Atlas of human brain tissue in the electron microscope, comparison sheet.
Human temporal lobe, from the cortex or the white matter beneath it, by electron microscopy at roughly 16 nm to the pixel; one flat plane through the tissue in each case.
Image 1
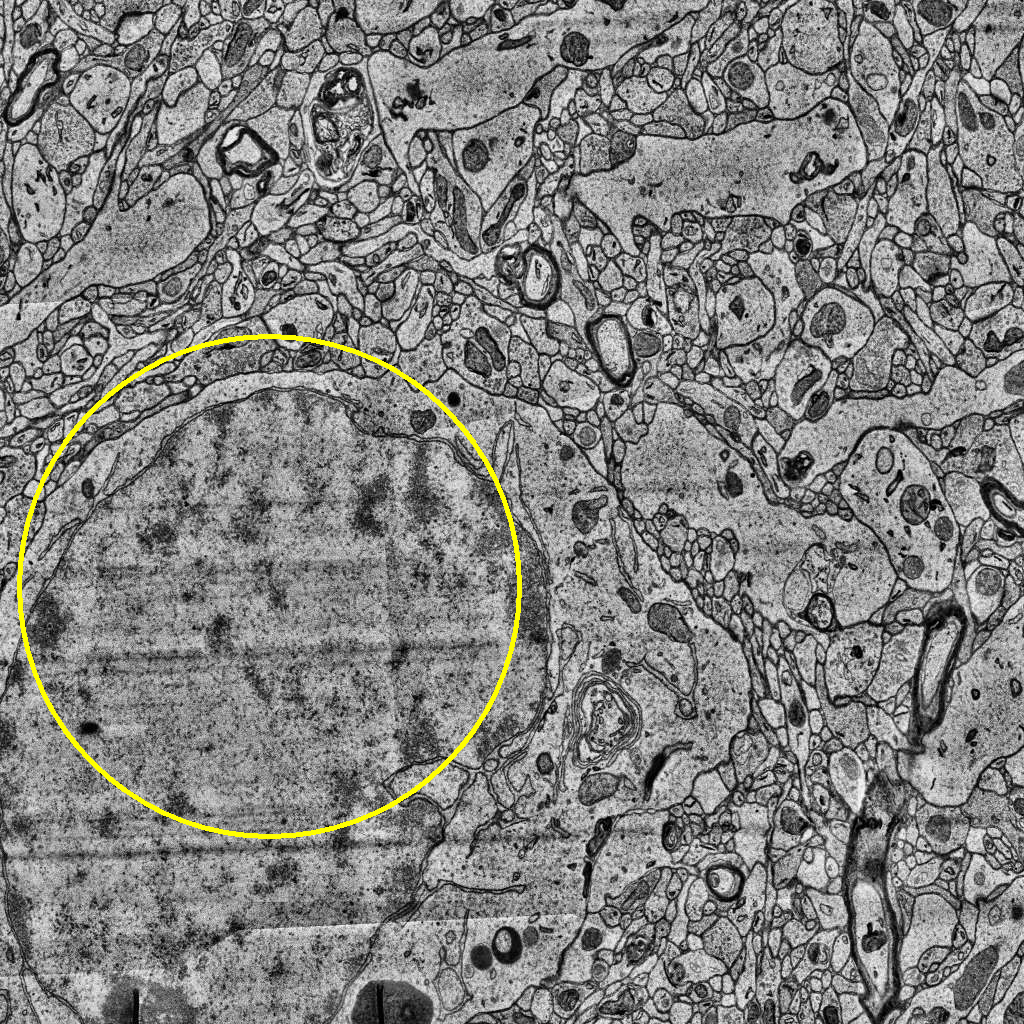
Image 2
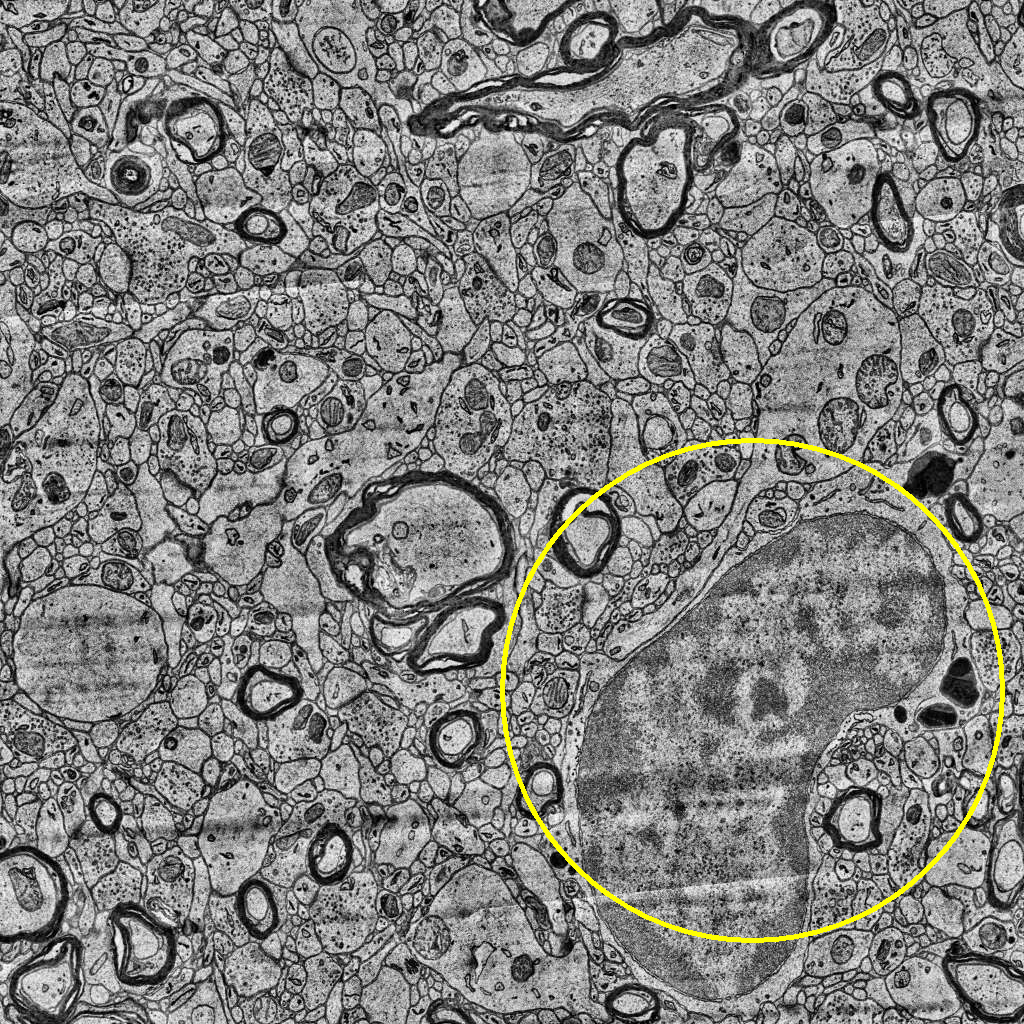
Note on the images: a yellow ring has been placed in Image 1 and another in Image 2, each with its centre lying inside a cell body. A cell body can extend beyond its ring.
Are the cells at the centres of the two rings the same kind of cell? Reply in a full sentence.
No, the two cells are of two kinds.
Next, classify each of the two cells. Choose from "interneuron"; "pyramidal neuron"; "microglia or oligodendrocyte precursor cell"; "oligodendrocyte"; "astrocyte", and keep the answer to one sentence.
The second cell is a microglial cell or oligodendrocyte precursor cell, and the first cell is an interneuron.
